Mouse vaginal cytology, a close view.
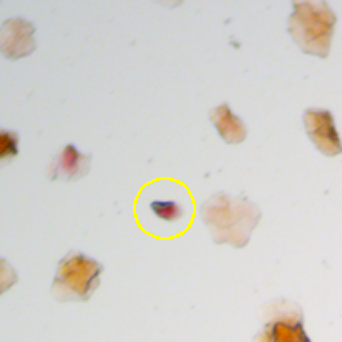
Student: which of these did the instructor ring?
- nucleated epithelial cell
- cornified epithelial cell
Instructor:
The cell I ringed is a nucleated epithelial cell.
